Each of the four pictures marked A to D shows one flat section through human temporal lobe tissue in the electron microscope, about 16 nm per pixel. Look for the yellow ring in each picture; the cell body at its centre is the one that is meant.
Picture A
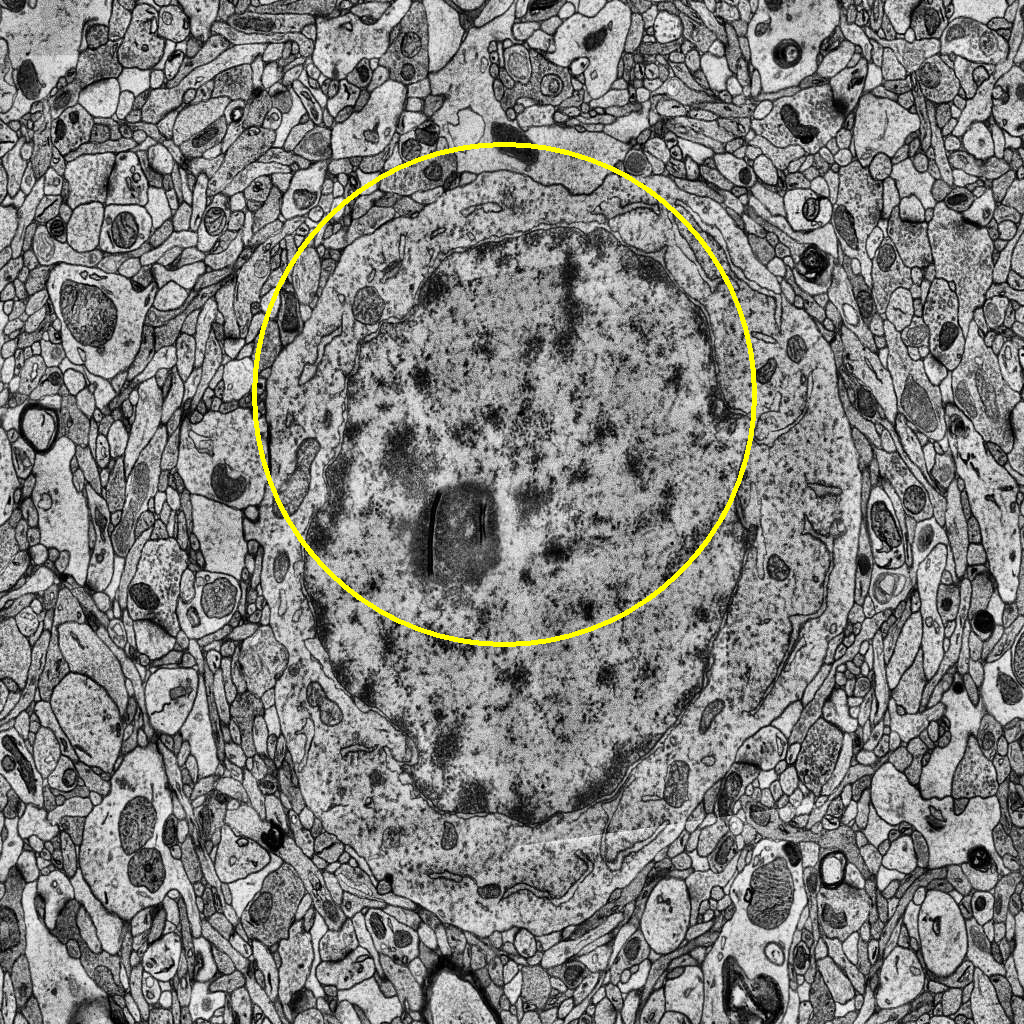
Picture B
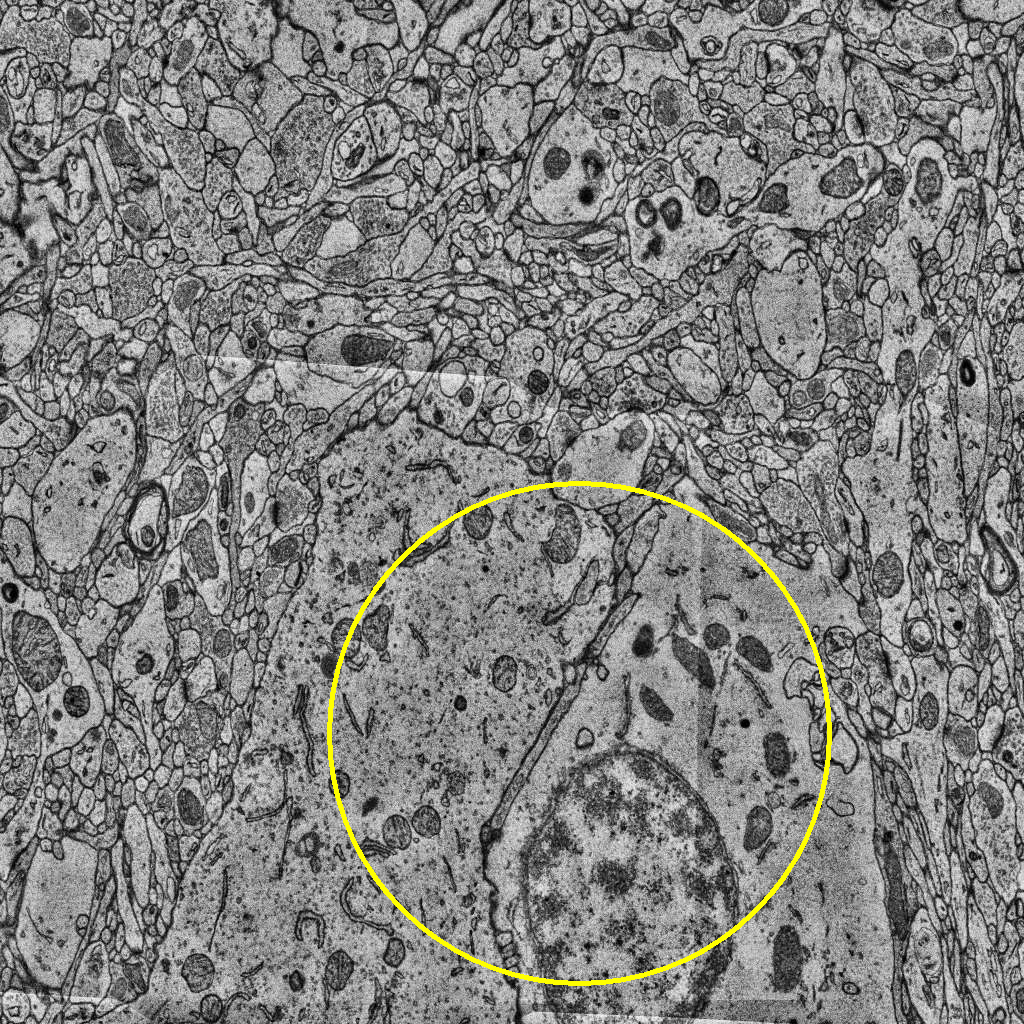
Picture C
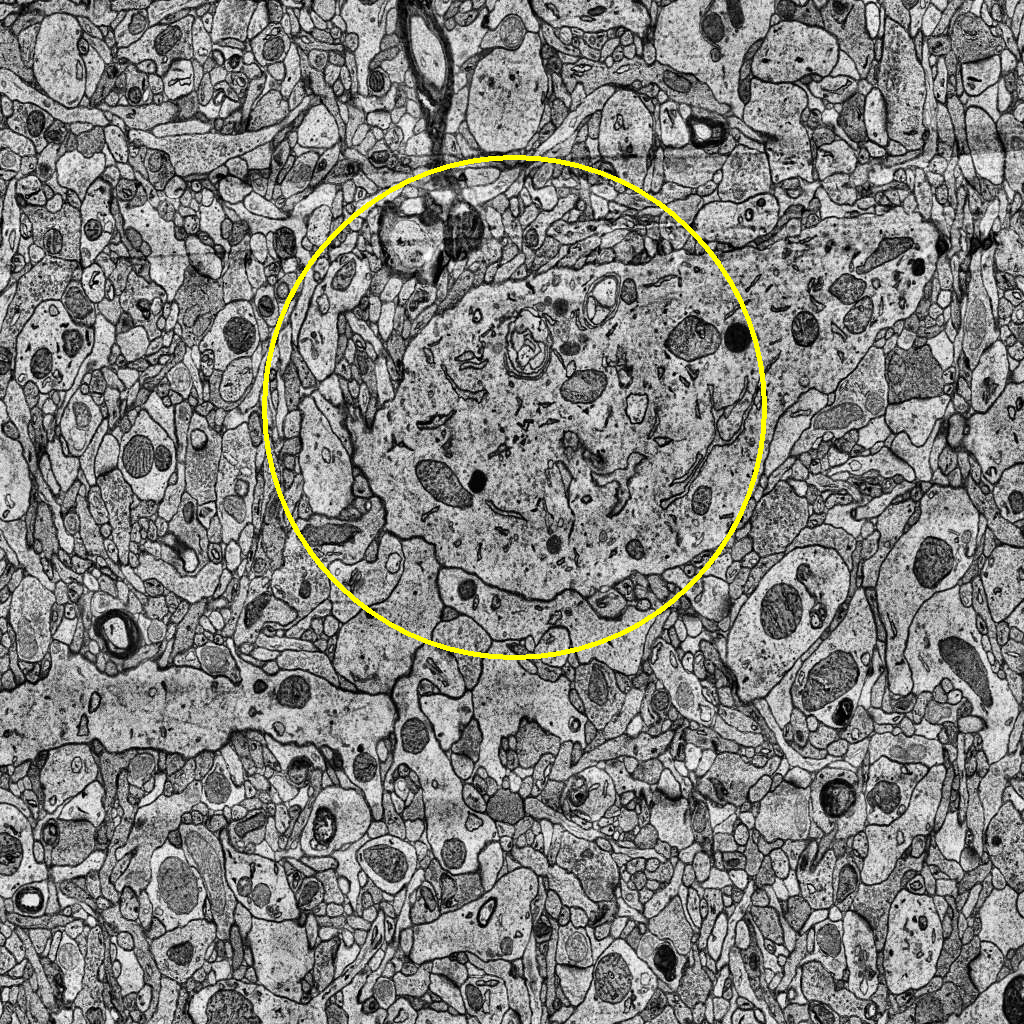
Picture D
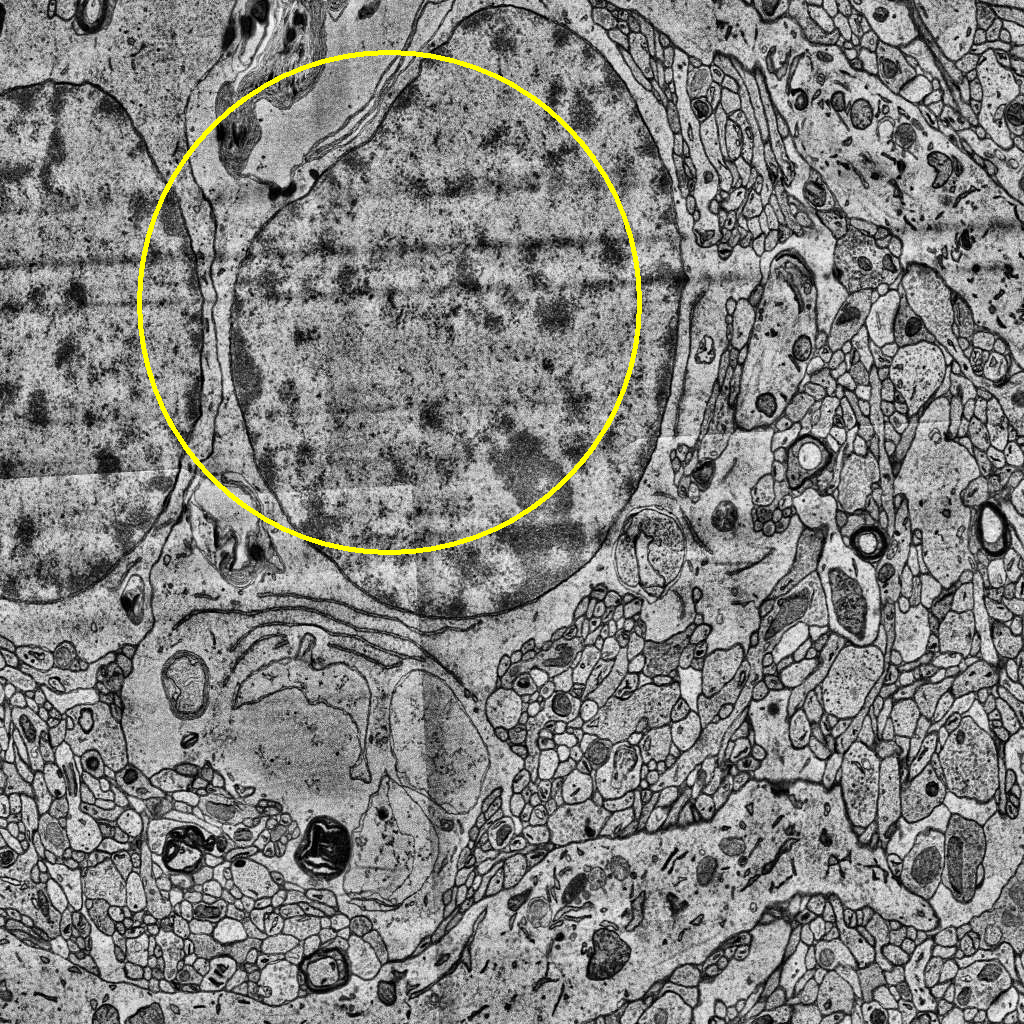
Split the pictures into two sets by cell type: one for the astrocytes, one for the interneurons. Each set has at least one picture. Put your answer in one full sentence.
Pictures B and D show astrocytes, and pictures A and C show interneurons.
